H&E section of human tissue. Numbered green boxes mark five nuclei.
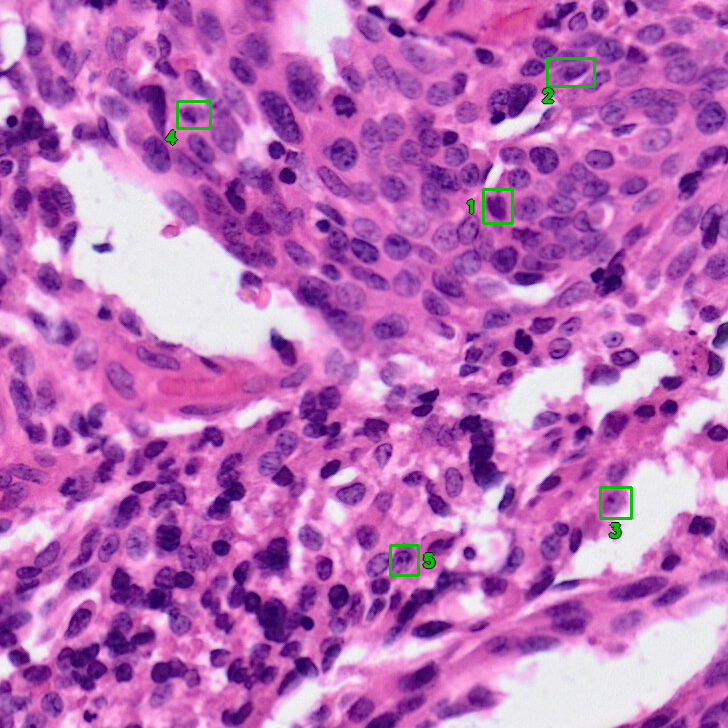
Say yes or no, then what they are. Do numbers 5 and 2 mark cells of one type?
No, cell 5 is a macrophage or monocyte and cell 2 is a carcinoma cell.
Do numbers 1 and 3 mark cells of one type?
No, cell 1 is a carcinoma cell and cell 3 is a macrophage or monocyte.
